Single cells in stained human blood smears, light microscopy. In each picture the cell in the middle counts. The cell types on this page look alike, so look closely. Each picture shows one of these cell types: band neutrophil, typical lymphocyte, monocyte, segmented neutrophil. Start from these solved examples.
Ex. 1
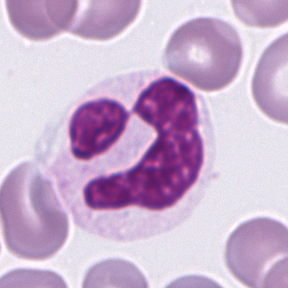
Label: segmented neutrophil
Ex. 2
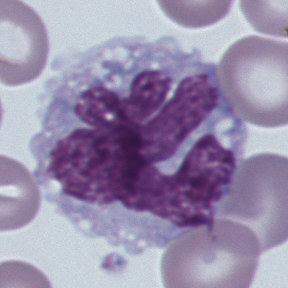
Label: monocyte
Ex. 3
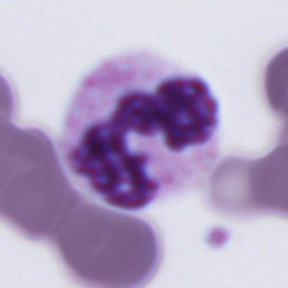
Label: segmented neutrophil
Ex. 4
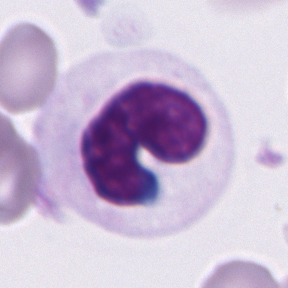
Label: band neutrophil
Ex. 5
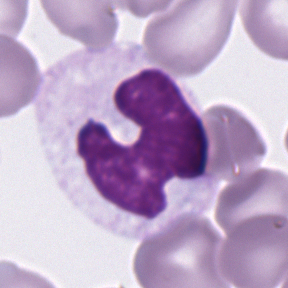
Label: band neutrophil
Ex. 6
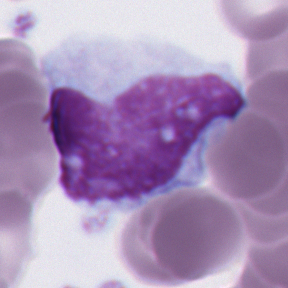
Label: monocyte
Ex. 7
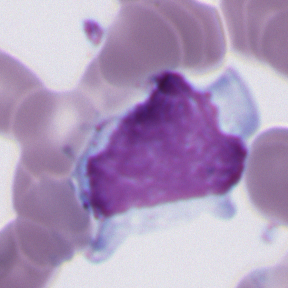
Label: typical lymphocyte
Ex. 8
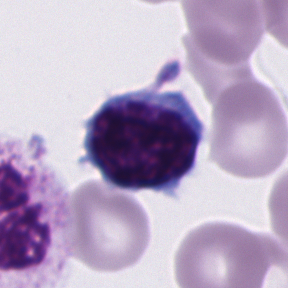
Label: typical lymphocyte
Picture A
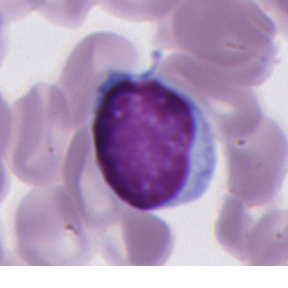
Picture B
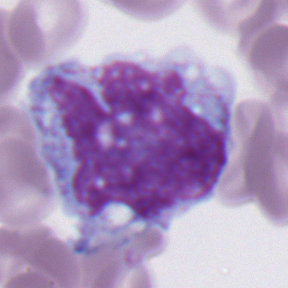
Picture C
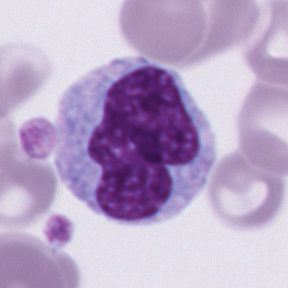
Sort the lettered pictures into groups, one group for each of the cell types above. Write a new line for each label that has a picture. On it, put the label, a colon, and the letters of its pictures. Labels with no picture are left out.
typical lymphocyte: A
monocyte: B, C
